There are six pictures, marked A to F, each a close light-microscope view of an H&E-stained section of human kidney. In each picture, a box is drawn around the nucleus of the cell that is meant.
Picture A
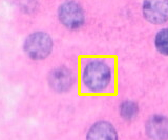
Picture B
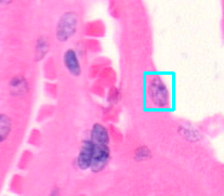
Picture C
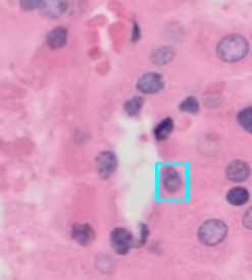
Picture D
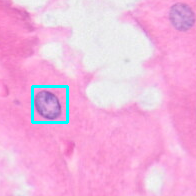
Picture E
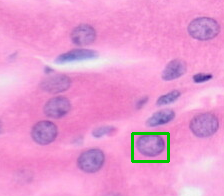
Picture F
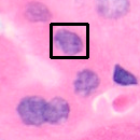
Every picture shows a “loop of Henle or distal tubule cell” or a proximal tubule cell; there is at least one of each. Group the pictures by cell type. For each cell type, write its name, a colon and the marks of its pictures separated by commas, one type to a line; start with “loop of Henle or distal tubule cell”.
loop of Henle or distal tubule cell: B, C
proximal tubule cell: A, D, E, F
